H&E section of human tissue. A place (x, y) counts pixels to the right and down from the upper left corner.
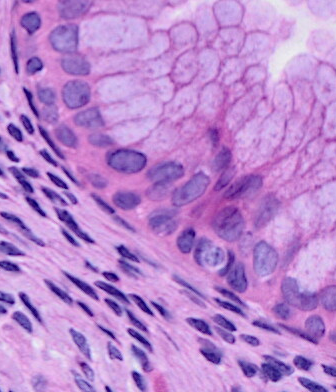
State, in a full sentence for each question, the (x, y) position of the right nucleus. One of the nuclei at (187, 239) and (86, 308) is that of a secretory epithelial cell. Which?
The cell to which the nucleus at (187, 239) belongs is a secretory epithelial cell.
